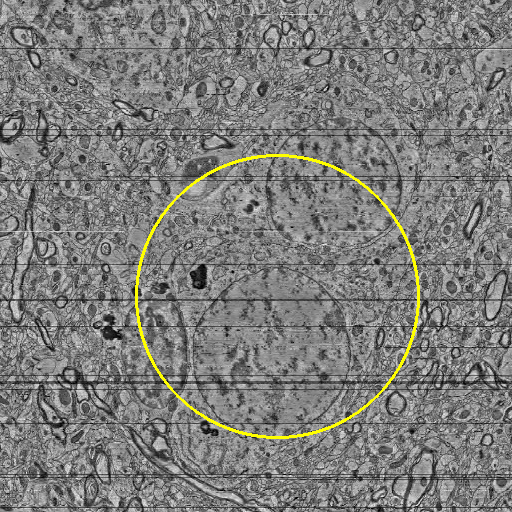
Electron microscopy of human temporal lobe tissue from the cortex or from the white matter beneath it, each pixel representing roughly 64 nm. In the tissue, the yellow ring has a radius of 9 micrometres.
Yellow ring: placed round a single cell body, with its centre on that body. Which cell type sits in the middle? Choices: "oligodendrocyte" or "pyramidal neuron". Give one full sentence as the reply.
It is a pyramidal neuron whose cell body sits at the centre of the yellow ring.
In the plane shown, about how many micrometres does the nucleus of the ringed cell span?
The nucleus is approximately 11 micrometers across in this plane.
